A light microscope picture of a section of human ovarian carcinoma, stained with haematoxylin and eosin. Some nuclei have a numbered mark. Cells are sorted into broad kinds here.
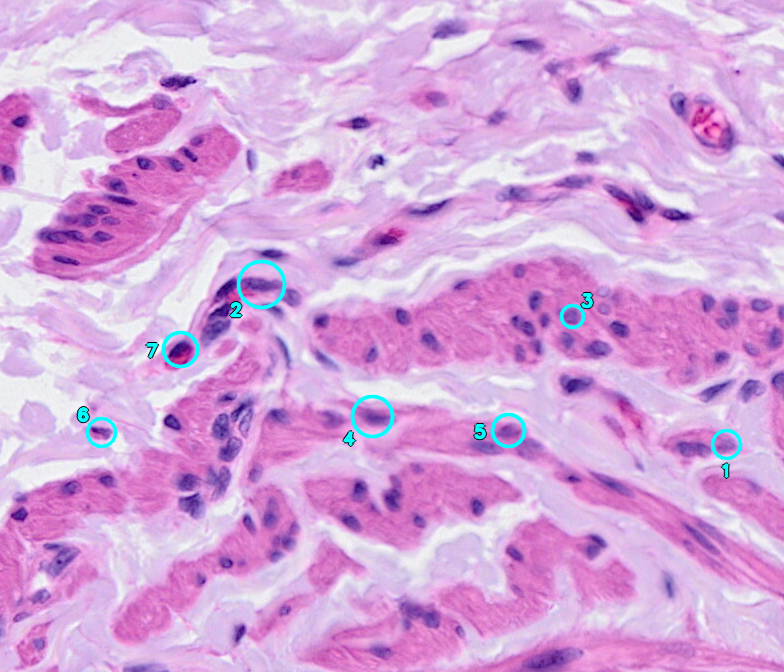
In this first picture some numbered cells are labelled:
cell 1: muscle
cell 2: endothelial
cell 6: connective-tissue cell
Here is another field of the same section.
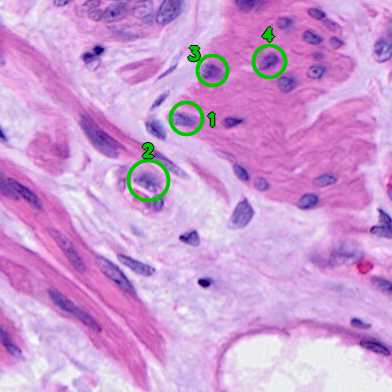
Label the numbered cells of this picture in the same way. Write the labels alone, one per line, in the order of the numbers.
muscle
endothelial
muscle
muscle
